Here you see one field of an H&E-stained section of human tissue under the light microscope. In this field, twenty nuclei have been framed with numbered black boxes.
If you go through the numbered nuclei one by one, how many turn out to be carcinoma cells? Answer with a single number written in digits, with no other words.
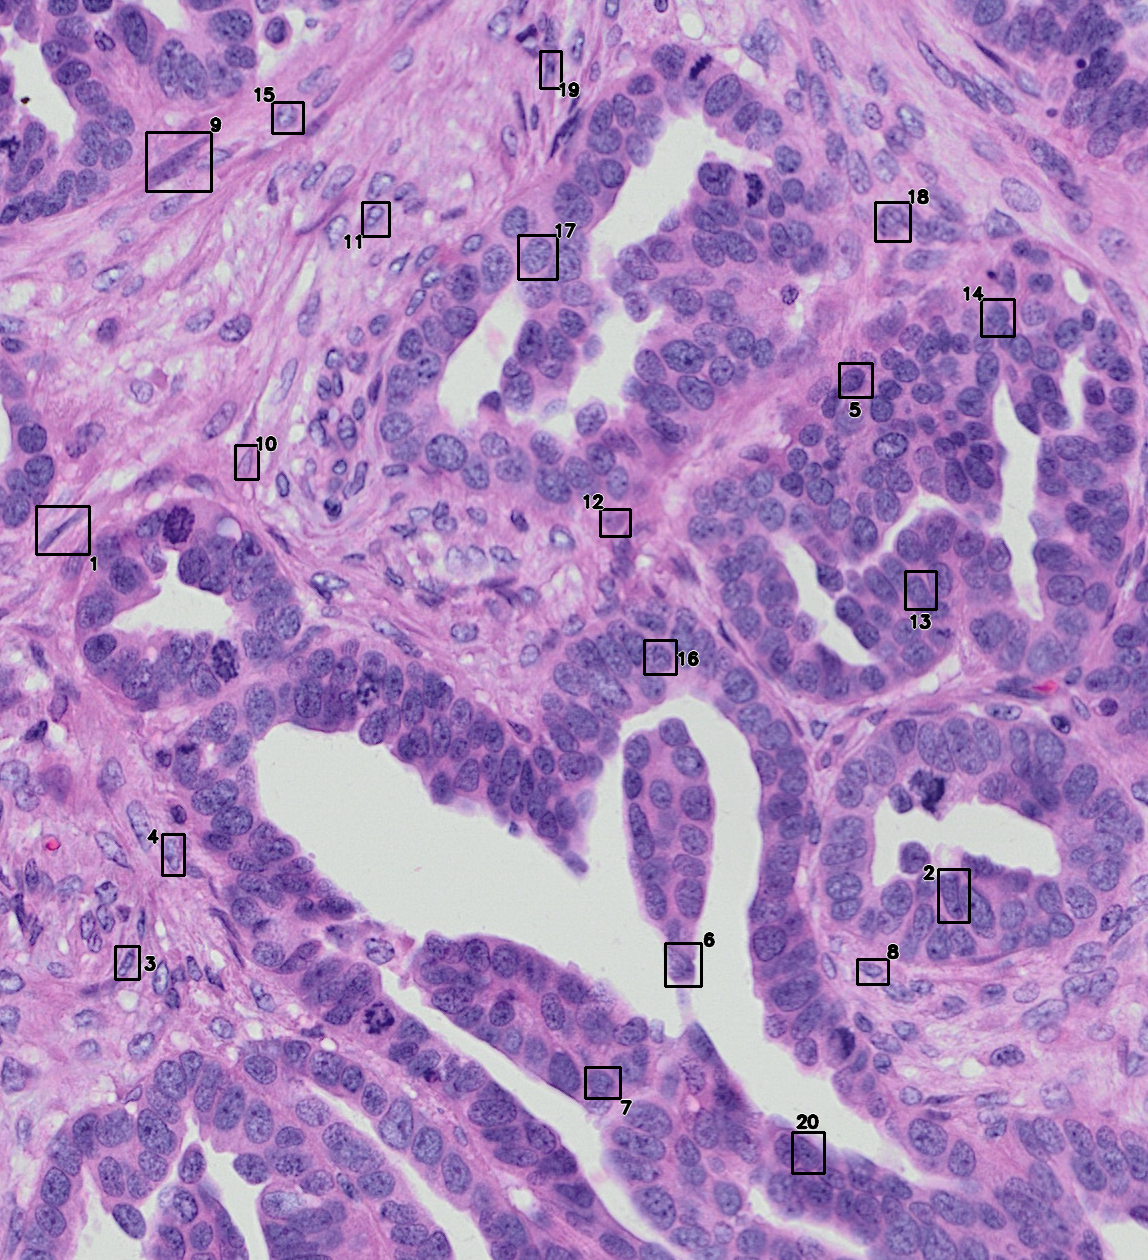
9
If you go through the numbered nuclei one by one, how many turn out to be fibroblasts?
10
